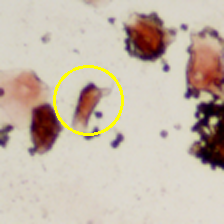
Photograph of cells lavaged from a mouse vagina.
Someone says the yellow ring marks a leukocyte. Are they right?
They are not: the ring marks a cornified epithelial cell.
